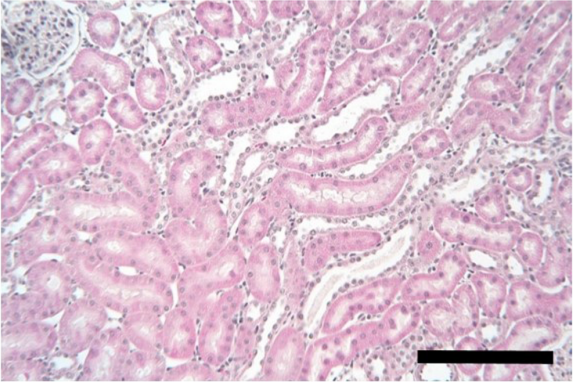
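This is kidney tissue in which a dense field of renal tubules fills the view, with part of a glomerulus in the upper left corner. The tubules are cut both across and along their length, so some appear as rings and others as long winding channels. Each is lined by a single row of cuboidal epithelial cells with pink cytoplasm and round purple nuclei set at fairly even intervals. The lumens are open and clear, and the tubules lie close together with only thin spaces between them. The pattern is orderly throughout, without casts in the lumens or gaps in the linings.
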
